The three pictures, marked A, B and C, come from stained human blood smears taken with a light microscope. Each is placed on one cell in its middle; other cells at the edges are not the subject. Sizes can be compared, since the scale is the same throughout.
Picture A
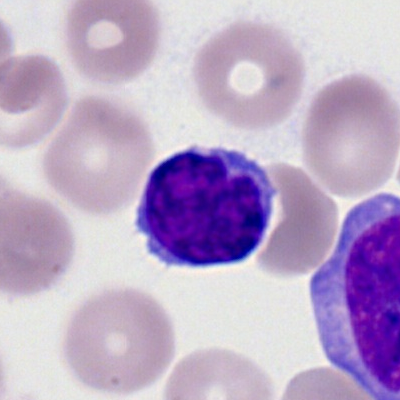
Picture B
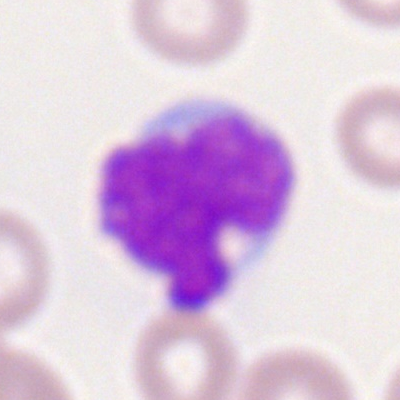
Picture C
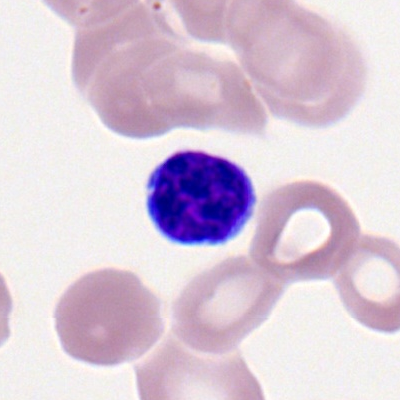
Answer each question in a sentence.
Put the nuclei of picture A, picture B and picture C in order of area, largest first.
Largest first: B, A, C.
